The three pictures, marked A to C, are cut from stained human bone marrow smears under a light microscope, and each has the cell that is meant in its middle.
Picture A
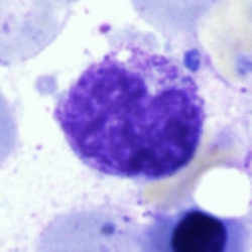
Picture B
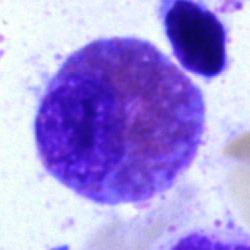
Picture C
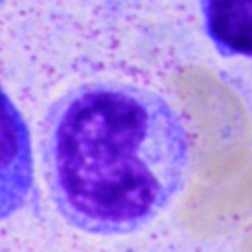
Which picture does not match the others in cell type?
B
